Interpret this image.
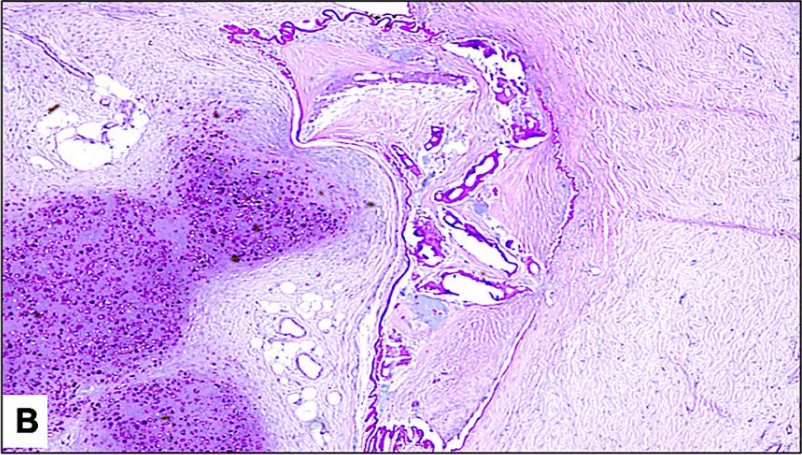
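This low-power view of an eye shows abnormal tissues within the globe, including an island of cartilage and fat, next to a damaged lens. On the left a large purple region, rich in small cells, has a matrix that takes the purple stain. Beside it lie groups of clear, round empty spaces, the look of fat. In the middle a thin, bright magenta band runs in folds and loops, with pale broken material caught between them. To the right the tissue is pale pink and fibrous with few nuclei.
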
